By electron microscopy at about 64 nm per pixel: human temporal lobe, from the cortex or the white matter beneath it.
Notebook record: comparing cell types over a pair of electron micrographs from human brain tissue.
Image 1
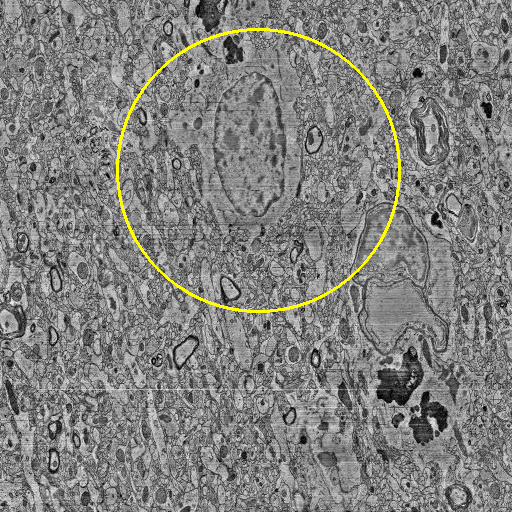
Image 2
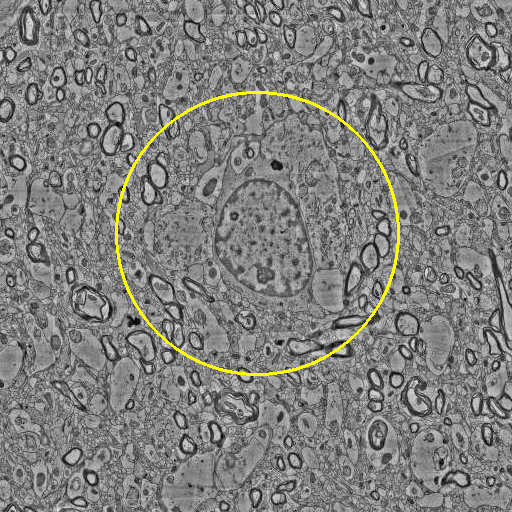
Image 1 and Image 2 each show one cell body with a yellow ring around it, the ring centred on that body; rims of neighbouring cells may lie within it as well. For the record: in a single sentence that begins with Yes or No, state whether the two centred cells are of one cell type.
No, two cell types are found among the centred cells of Image 1 and Image 2.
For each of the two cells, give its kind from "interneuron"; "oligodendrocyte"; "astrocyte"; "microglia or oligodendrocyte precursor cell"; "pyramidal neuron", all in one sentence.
The first picture has an astrocyte in its ring, the second has an oligodendrocyte.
